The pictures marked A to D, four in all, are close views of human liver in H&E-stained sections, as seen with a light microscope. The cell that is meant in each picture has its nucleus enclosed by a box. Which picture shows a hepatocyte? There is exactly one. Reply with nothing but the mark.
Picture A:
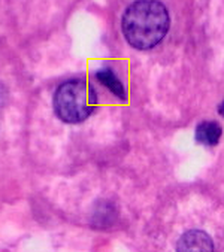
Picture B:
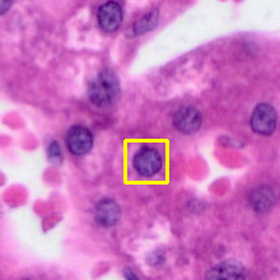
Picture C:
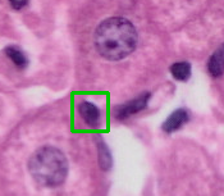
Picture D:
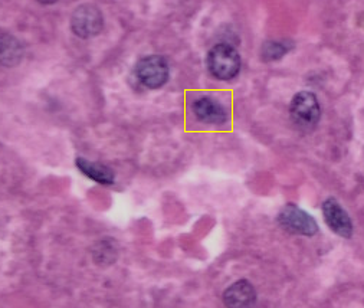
B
